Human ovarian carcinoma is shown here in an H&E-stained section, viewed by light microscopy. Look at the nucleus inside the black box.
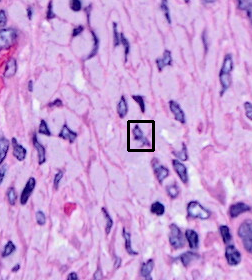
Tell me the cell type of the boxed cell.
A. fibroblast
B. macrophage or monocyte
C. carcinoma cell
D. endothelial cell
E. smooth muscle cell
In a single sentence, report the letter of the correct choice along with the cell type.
In this case the boxed cell is a fibroblast, so option A is correct.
